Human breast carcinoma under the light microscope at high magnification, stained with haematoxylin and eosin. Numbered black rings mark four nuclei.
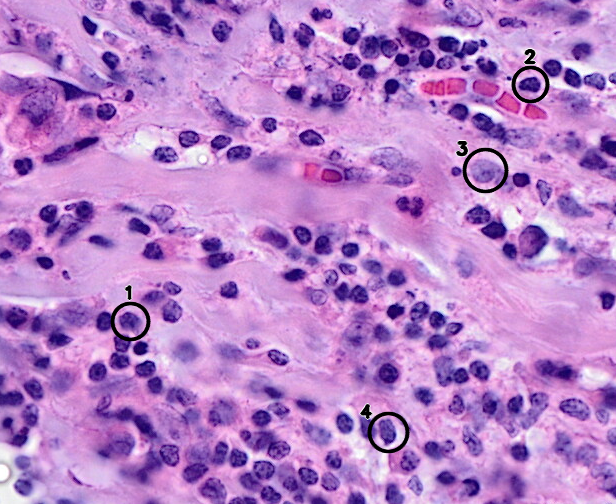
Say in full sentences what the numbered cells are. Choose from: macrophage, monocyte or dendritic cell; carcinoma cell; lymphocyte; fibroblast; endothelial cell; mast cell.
Cells 1, 2 and 4 are lymphocytes. Cell 3 is a macrophage, monocyte or dendritic cell.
